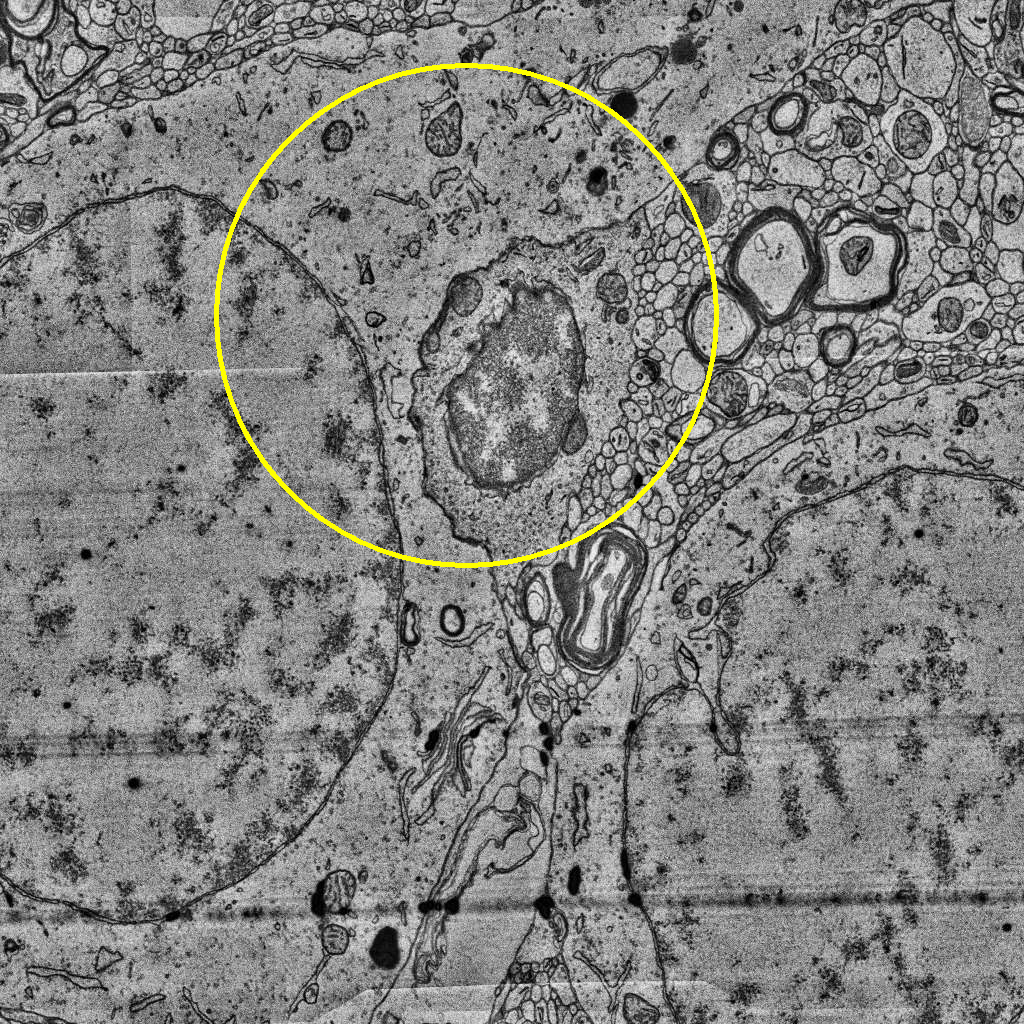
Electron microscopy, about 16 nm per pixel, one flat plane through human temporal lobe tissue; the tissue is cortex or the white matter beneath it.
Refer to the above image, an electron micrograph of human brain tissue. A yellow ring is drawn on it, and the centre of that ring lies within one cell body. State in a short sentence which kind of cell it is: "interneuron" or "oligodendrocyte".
The centre of the ring falls on an oligodendrocyte.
